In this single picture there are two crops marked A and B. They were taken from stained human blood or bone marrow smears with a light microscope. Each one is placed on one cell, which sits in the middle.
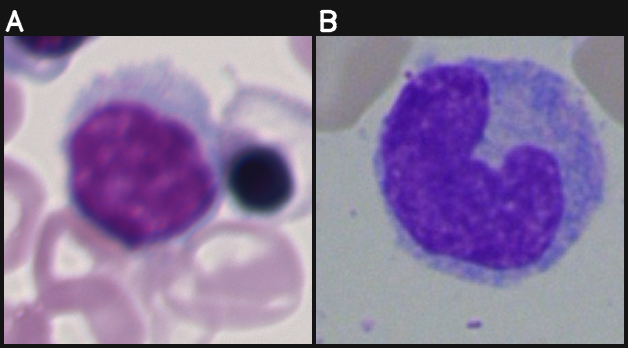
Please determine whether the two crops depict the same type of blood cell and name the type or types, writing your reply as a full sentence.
No, crop A contains a lymphocyte, and crop B contains a monocyte.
